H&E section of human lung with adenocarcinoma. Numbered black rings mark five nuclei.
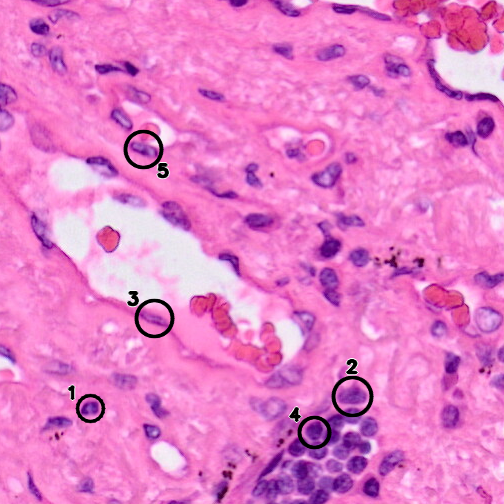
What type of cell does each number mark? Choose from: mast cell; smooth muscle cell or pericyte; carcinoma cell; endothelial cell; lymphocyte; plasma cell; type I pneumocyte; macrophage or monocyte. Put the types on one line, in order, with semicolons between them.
mast cell; lymphocyte; endothelial cell; lymphocyte; endothelial cell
